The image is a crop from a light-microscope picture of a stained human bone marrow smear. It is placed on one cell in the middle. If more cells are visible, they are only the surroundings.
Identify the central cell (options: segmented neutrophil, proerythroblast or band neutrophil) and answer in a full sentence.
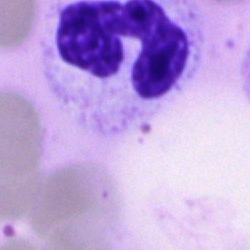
Standing at the centre of this crop is a band neutrophil.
